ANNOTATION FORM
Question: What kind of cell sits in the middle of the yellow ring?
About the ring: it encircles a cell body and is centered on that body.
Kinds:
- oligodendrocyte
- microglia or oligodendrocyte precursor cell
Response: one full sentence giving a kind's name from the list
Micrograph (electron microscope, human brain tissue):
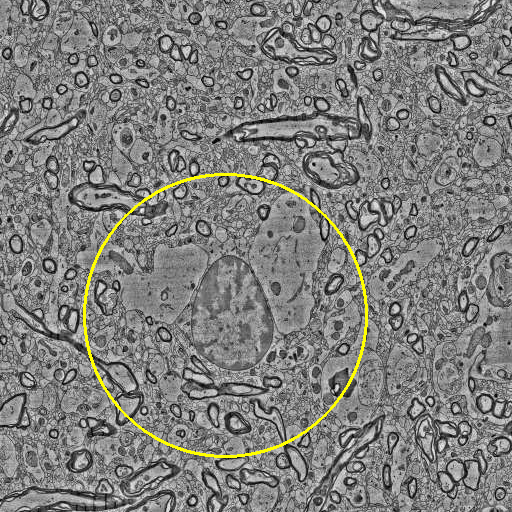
The kind of cell found at the center of the yellow ring in the micrograph is a microglial cell or oligodendrocyte precursor cell.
